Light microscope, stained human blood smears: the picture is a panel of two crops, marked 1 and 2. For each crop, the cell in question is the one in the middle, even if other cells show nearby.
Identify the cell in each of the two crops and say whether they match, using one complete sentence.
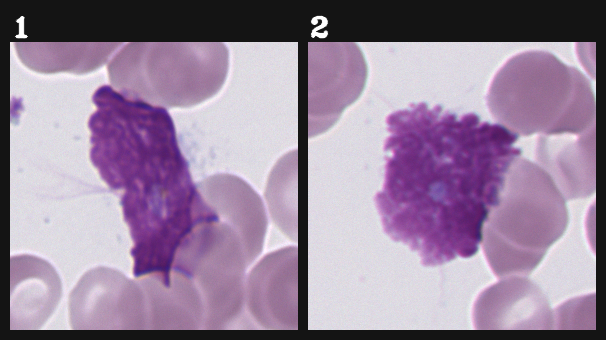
Yes, the cells placed at the centre of both crops are smudge cells.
